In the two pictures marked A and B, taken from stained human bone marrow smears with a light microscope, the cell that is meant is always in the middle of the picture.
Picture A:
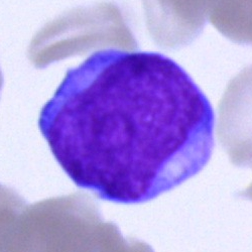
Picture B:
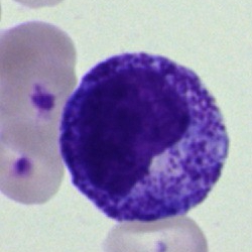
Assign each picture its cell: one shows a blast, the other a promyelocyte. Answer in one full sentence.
Picture A shows a blast and picture B shows a promyelocyte.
